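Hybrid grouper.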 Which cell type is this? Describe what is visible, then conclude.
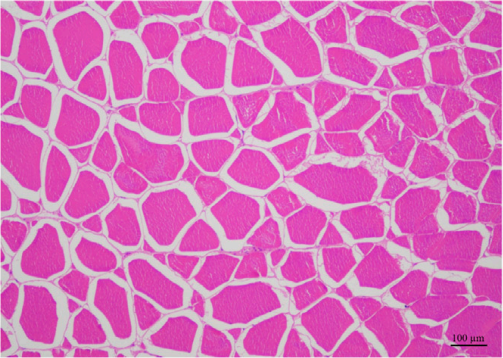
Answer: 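Each profile is filled with evenly pink cytoplasm. Thin pale gaps and fine connective tissue strands separate the profiles.
Conclusion: myofiber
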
